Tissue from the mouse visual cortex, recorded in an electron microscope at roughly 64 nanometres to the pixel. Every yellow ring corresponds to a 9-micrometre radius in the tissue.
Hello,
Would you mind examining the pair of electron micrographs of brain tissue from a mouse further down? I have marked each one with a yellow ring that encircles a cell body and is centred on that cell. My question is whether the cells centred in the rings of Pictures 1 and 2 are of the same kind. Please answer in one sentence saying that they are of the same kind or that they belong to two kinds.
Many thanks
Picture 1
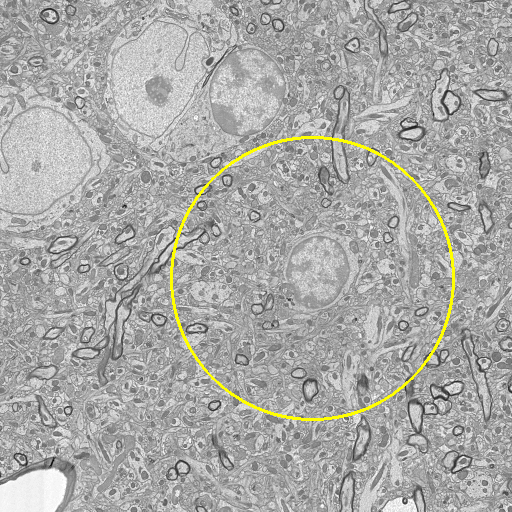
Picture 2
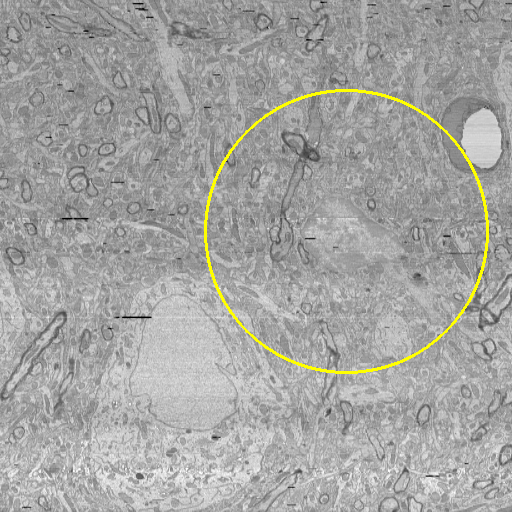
In Pictures 1 and 2, the cells at the heart of the rings are of the same kind.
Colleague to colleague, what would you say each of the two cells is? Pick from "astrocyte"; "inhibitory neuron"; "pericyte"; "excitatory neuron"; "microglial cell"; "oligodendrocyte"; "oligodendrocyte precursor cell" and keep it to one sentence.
The first and the second cell are each an oligodendrocyte.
